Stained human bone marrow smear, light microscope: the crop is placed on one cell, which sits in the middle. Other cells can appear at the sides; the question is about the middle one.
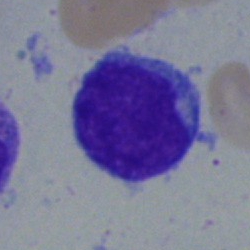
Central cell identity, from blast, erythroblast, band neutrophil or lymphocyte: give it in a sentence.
The center cell of this crop is a blast.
